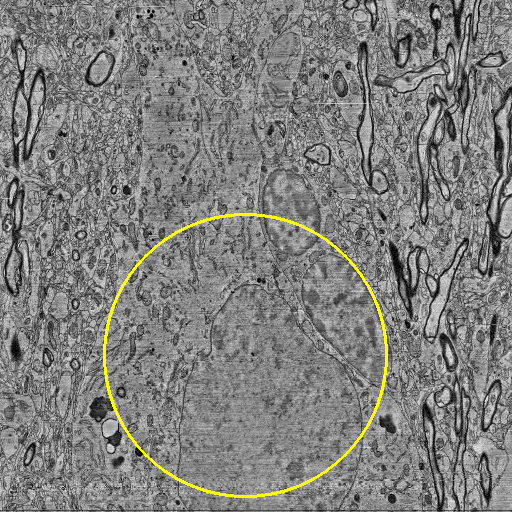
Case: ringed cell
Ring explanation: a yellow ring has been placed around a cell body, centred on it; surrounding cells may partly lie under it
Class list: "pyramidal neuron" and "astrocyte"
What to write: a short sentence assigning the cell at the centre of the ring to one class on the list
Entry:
The cell at the ring's centre is a pyramidal neuron.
